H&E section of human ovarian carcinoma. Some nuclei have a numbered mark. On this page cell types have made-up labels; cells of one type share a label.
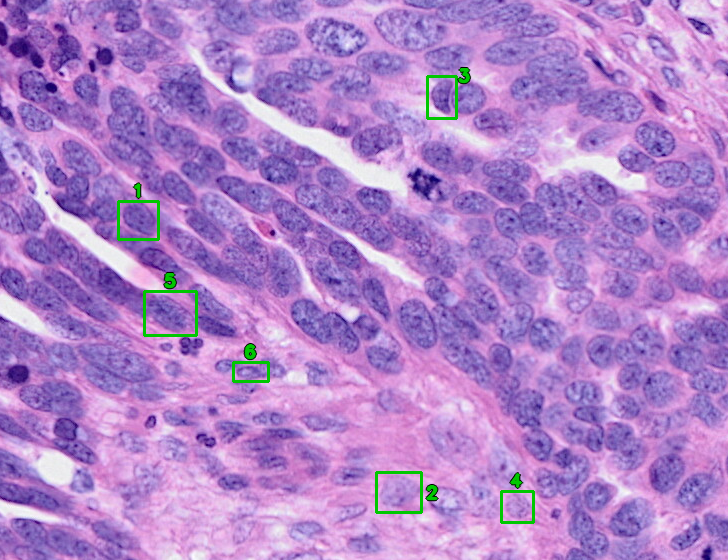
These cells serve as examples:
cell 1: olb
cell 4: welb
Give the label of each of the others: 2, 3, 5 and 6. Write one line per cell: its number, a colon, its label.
2: welb
3: olb
5: olb
6: welb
